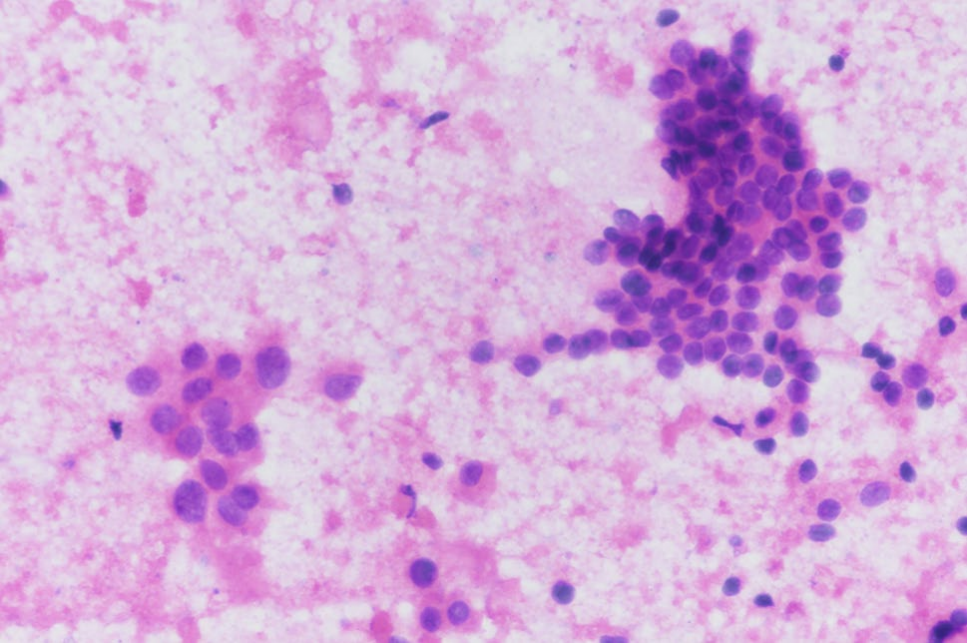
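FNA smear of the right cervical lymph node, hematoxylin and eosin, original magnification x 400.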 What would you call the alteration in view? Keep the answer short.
Nuclei are enlarged and crowded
